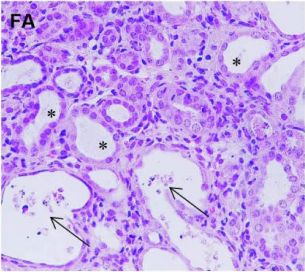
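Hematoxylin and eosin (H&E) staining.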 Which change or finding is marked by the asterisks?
dilated tubule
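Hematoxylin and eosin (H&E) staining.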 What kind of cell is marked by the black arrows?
necrotic tubular epithelial cells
